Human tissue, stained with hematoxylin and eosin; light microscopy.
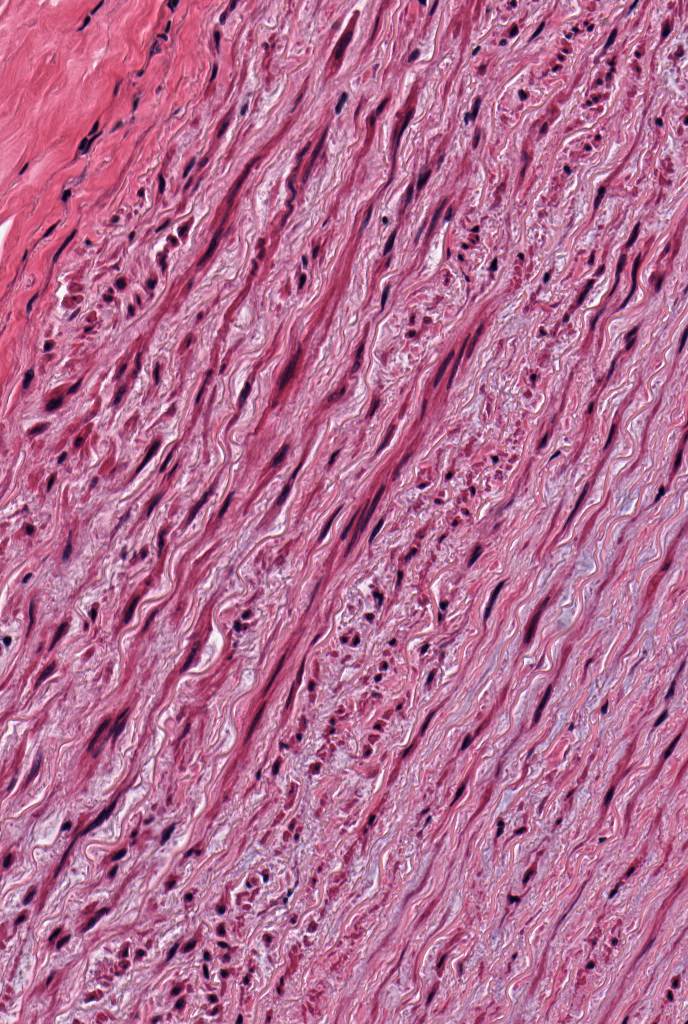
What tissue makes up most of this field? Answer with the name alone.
tunica media of an artery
